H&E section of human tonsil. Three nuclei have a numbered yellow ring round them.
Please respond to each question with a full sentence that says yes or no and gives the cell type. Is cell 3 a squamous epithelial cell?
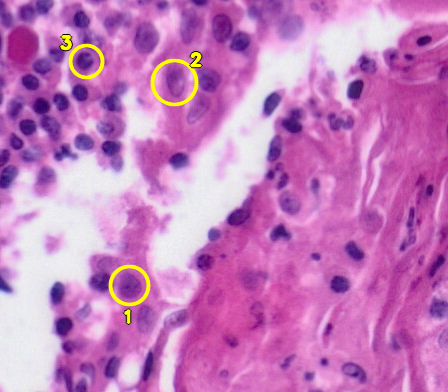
No, cell 3 is not a squamous epithelial cell. It is a plasma cell.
